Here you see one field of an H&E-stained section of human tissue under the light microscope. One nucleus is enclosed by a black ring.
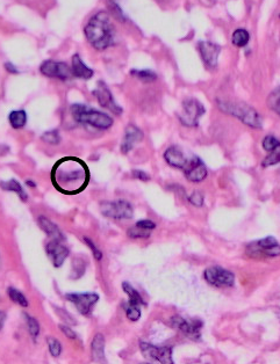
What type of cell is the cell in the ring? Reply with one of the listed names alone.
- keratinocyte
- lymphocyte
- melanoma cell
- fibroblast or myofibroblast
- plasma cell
fibroblast or myofibroblast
